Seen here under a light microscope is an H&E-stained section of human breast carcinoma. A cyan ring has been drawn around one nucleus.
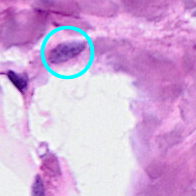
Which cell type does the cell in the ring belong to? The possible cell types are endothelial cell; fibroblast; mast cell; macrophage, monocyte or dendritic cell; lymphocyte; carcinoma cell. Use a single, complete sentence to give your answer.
What the cell in the ring represents is a fibroblast.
